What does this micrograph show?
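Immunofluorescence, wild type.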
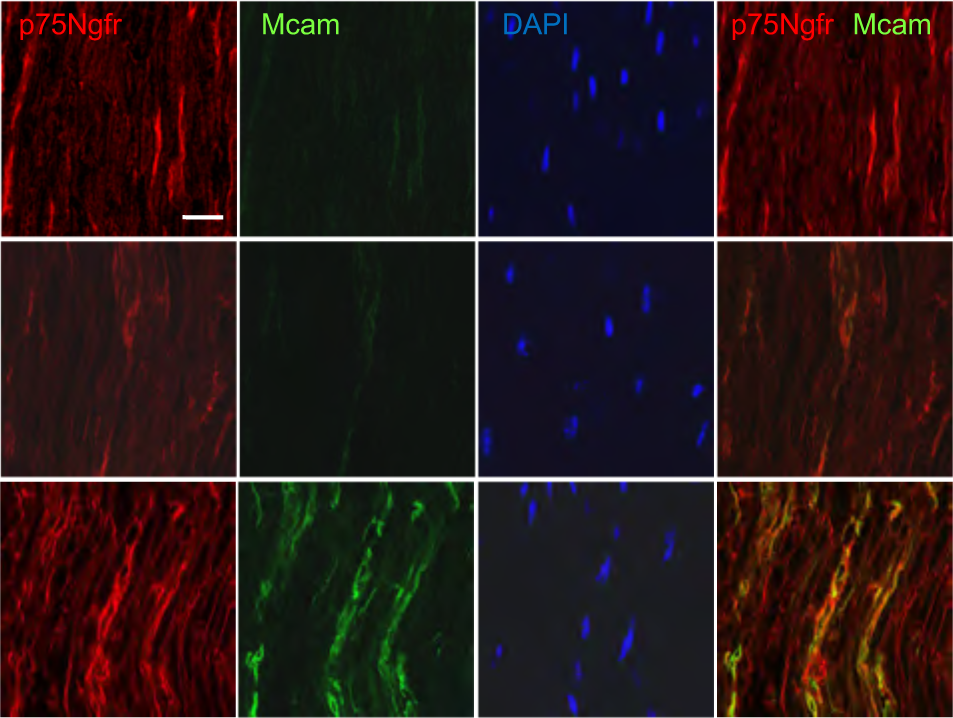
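In the bottom row both labels are strong: bright red and green strands follow the same wavy course, and in the merged view they overlap as yellow along the fibres. Blue, elongated nuclei are aligned with the nerve axis between the strands.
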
